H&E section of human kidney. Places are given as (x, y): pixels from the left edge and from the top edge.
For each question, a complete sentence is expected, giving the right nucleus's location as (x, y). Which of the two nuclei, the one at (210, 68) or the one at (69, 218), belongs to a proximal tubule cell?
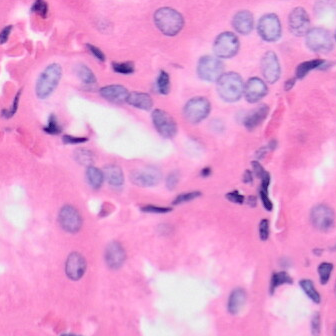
The nucleus of a proximal tubule cell lies at (69, 218), not at the other position.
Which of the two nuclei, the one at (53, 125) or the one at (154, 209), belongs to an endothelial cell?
The nucleus lying at (154, 209) is the nucleus of an endothelial cell.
